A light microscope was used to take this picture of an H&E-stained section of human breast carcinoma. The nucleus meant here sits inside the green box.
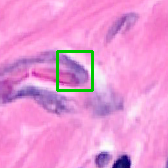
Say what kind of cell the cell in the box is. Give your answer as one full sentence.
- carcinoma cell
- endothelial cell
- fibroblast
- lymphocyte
At the level of cell identity, the cell in the box is an endothelial cell.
